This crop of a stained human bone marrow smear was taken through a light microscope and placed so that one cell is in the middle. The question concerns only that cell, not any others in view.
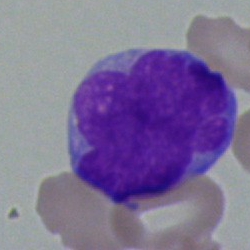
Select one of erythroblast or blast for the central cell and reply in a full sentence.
At the crop's centre, the cell is a blast.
